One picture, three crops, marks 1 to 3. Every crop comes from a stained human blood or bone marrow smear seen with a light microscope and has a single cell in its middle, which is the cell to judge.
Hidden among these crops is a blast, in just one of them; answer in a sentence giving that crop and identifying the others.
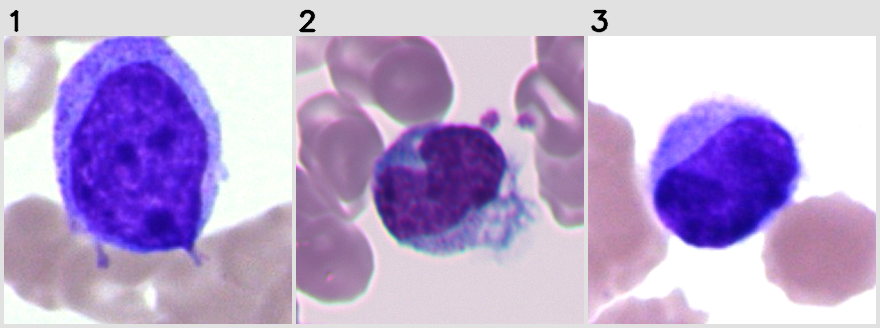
Depicted in crop 1 is a blast, while crop 2 is a monocyte and crop 3 is a hairy cell.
